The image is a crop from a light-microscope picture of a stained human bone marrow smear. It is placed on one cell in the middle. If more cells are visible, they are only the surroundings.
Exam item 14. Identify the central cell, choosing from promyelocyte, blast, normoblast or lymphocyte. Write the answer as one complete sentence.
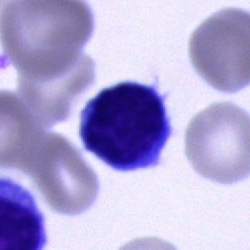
This crop is built around a lymphocyte at its centre.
